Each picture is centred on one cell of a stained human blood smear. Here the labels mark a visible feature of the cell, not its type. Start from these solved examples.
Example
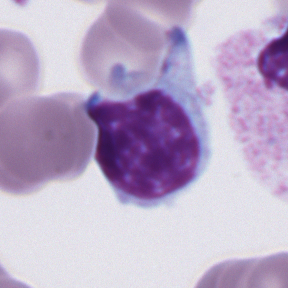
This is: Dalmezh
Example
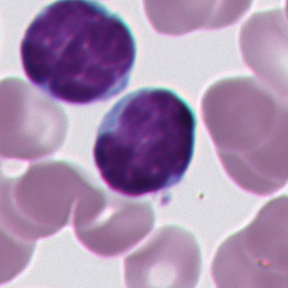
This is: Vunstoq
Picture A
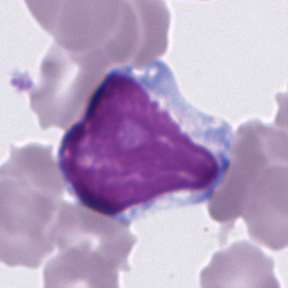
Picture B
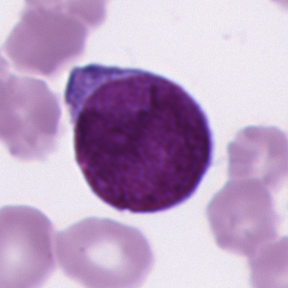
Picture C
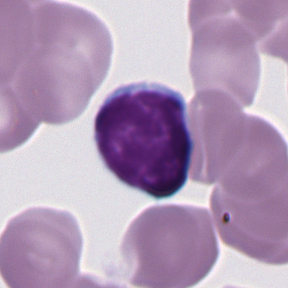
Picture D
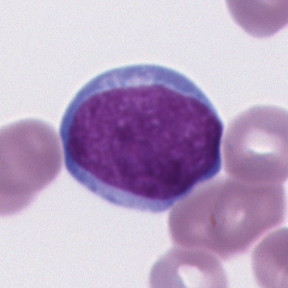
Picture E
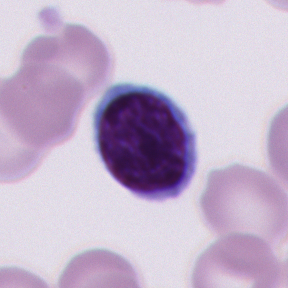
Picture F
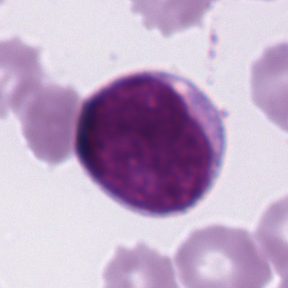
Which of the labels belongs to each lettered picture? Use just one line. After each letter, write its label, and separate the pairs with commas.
A Dalmezh, B Vunstoq, C Vunstoq, D Vunstoq, E Vunstoq, F Vunstoq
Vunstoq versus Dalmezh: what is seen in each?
Vunstoq: smooth outline; Dalmezh: ragged outline or projections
